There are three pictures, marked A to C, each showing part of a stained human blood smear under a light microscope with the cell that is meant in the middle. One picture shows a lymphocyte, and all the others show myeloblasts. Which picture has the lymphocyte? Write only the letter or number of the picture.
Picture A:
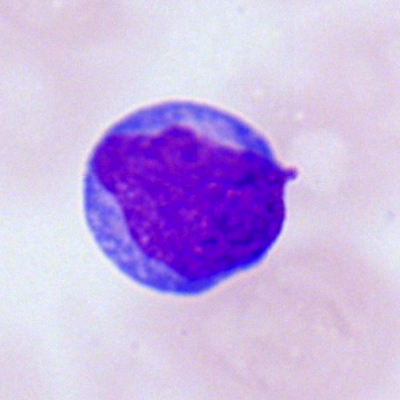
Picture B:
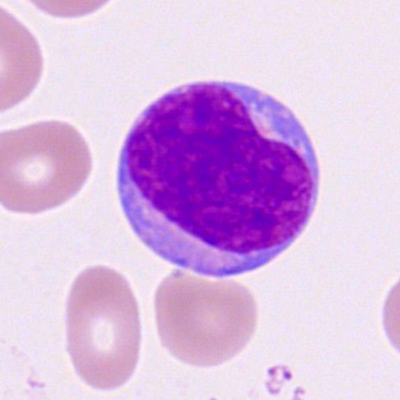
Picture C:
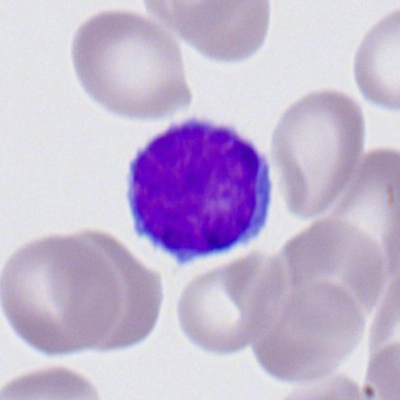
C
